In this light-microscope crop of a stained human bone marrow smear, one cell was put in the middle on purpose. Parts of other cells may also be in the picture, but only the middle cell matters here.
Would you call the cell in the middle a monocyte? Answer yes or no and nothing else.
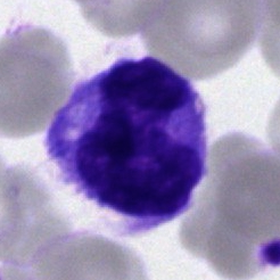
yes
